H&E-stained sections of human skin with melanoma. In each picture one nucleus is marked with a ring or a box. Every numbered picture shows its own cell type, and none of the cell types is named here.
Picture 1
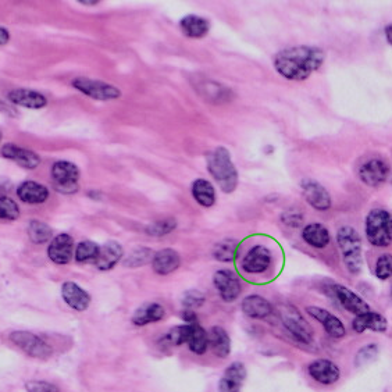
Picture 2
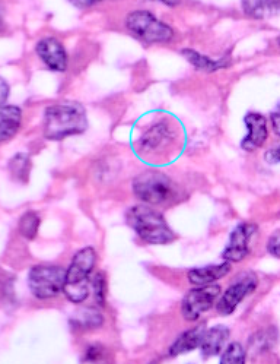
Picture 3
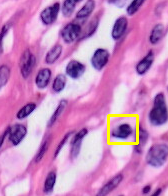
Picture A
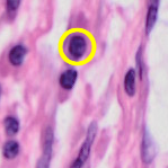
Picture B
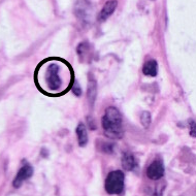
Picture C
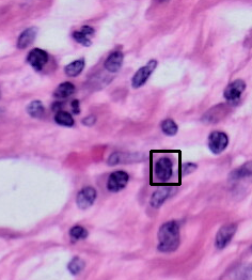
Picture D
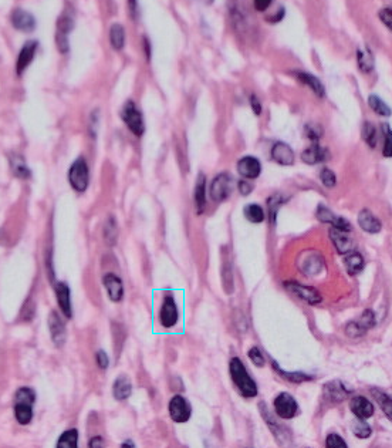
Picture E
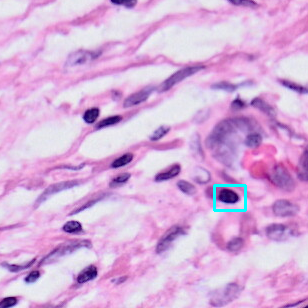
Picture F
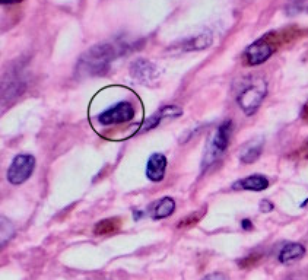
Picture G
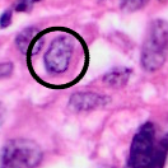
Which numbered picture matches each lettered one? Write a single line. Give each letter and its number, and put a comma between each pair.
A 1, B 3, C 1, D 1, E 1, F 1, G 2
